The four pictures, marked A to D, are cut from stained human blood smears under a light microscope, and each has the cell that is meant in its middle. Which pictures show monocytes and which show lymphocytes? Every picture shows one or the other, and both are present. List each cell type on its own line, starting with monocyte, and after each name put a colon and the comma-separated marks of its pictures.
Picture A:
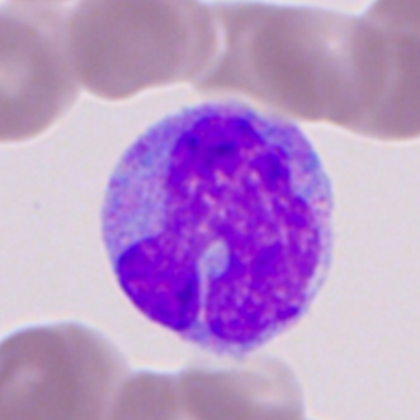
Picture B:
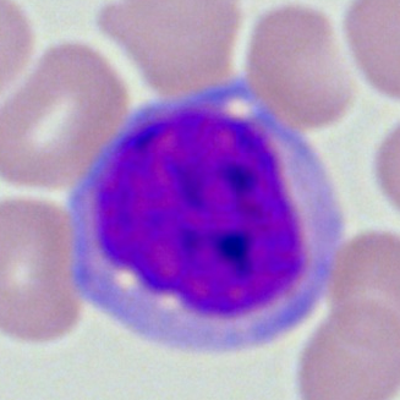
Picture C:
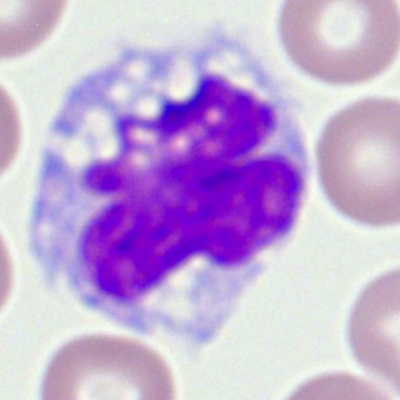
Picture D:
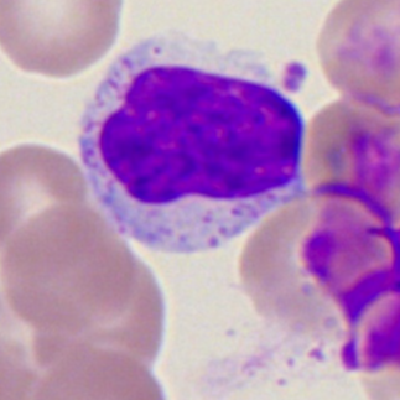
monocyte: A, B, C
lymphocyte: D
